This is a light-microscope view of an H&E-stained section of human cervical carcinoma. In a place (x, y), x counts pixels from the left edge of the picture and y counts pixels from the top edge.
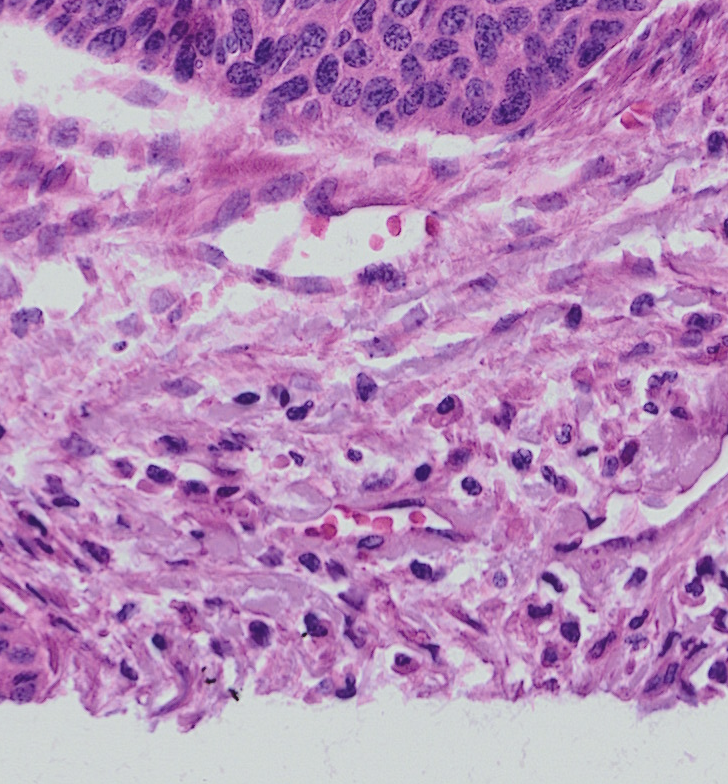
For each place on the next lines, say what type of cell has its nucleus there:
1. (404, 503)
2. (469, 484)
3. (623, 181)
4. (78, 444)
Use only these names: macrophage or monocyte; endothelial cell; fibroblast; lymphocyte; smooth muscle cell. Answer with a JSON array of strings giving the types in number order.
["endothelial cell", "lymphocyte", "fibroblast", "fibroblast"]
